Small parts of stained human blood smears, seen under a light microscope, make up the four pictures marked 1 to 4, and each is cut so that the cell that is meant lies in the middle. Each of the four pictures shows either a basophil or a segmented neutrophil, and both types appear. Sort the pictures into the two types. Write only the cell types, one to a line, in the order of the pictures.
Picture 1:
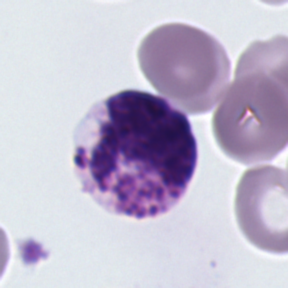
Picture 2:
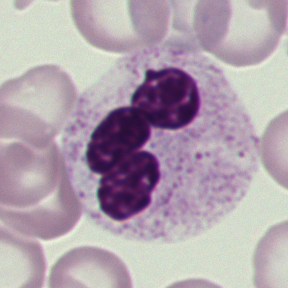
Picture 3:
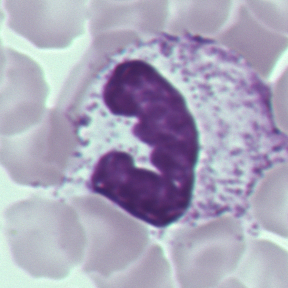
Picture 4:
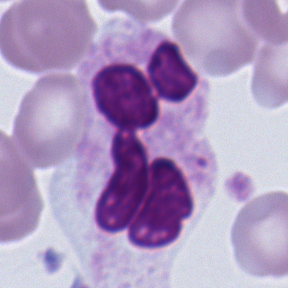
basophil
segmented neutrophil
segmented neutrophil
segmented neutrophil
